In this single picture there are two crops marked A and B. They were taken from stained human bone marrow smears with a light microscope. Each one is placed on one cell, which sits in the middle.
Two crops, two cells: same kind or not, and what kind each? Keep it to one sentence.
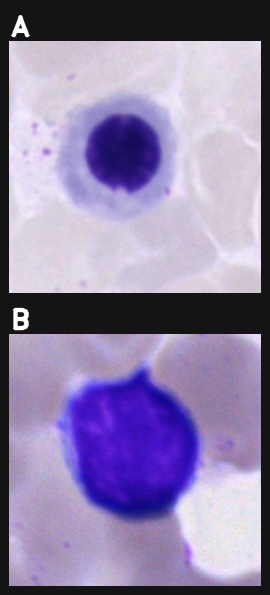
No, an erythroblast is depicted by crop A, a lymphocyte by crop B.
